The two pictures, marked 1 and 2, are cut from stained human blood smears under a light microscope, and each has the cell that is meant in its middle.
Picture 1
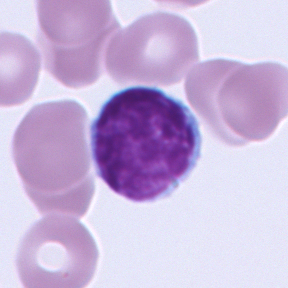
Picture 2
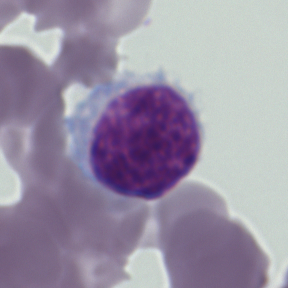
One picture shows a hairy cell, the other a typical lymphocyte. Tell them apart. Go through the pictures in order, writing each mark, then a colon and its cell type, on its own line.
1: typical lymphocyte
2: hairy cell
